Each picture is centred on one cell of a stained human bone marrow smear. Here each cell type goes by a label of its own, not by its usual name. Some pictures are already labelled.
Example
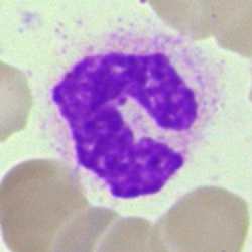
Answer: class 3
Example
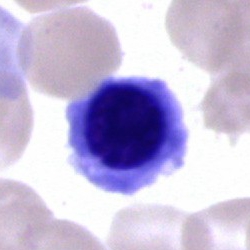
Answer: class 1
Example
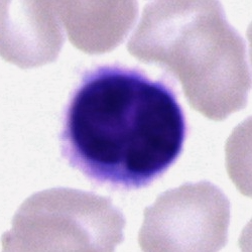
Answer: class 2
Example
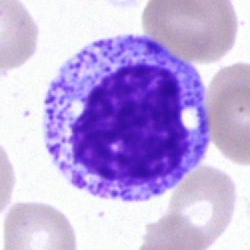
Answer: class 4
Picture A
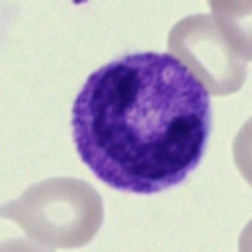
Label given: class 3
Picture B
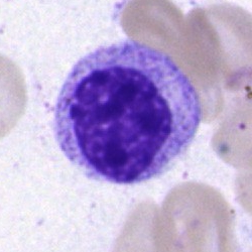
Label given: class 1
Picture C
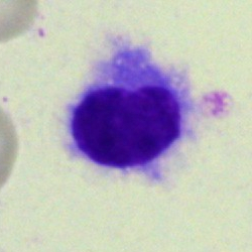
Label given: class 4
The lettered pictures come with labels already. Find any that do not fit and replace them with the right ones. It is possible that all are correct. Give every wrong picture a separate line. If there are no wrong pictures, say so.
Wrong: B (class 1); correct: class 4
Wrong: C (class 4); correct: class 2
